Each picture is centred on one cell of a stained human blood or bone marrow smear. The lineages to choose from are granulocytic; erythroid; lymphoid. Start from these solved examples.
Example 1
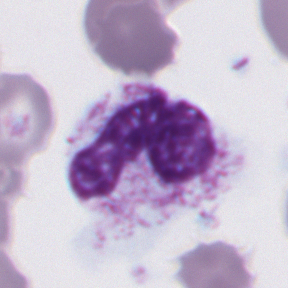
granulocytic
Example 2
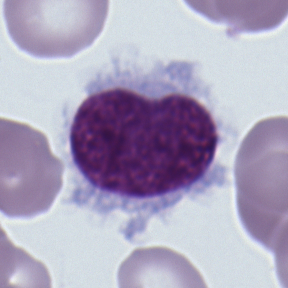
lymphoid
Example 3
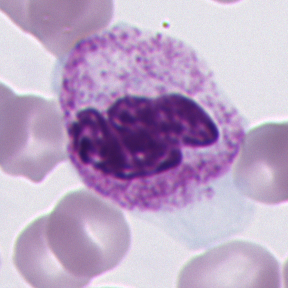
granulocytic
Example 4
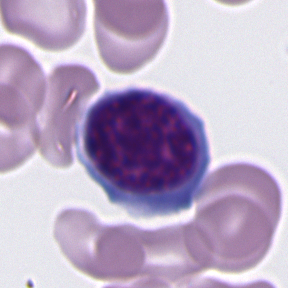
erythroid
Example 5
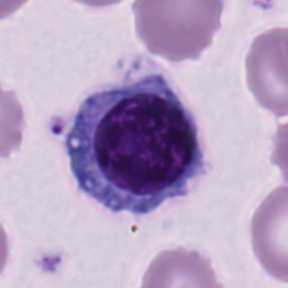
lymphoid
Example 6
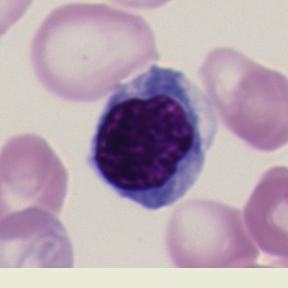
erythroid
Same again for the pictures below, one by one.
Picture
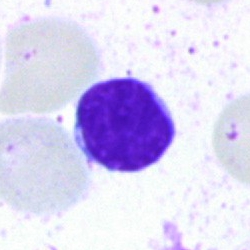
lymphoid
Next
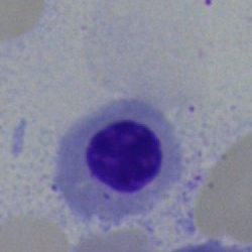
erythroid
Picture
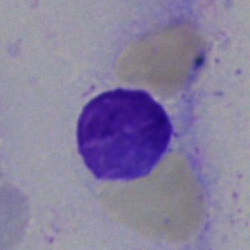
lymphoid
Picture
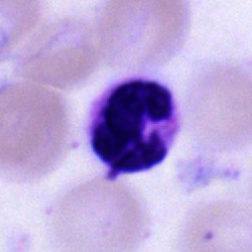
granulocytic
